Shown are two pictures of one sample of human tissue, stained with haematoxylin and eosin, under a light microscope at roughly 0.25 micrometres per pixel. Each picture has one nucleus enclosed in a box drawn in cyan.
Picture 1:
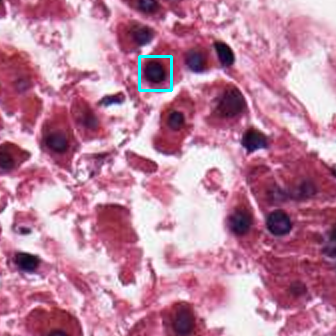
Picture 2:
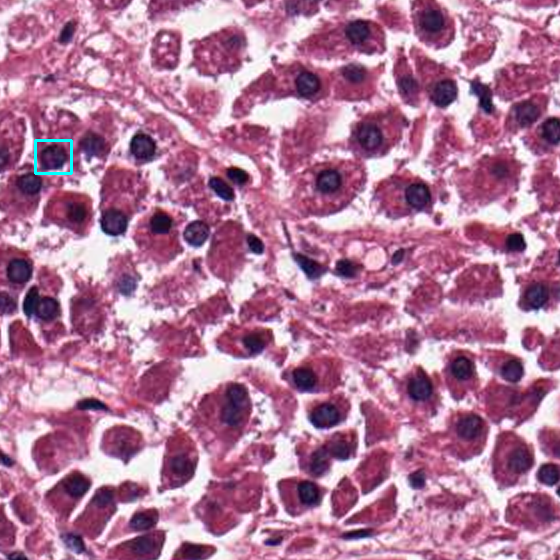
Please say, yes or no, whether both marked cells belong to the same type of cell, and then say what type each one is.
Yes, both are adrenal cortical cells.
